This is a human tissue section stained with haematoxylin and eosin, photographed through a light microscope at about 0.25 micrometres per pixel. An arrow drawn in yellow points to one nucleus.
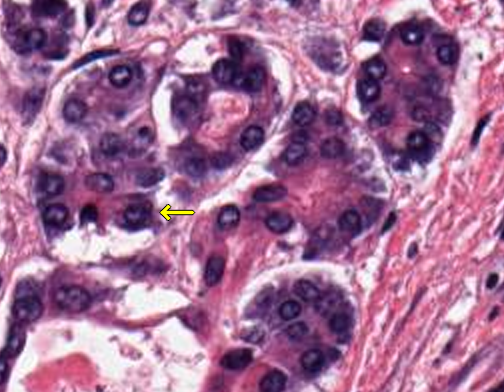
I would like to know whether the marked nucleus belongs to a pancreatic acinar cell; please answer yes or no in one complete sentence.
Yes, here the marked nucleus belongs to a pancreatic acinar cell.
